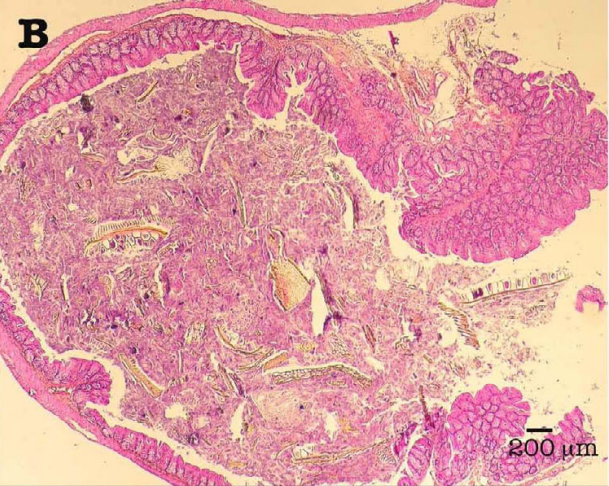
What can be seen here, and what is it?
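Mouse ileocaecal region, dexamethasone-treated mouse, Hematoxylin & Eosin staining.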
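Caecum in cross-section, with a mucosa of closely packed tubular crypts stained pink and purple around a wide lumen. The lumen is filled with loose pale ingesta containing elongated, refractile yellowish fragments. A thin muscular wall encloses the section.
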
